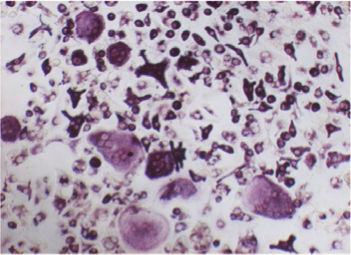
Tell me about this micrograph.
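Culture with a few large purple-stained osteoclasts scattered among numerous small mononuclear cells. The large cells are rounded with pale-purple cytoplasm and several nuclei. The small cells are round, spindle-shaped or stellate, many darkly stained.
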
